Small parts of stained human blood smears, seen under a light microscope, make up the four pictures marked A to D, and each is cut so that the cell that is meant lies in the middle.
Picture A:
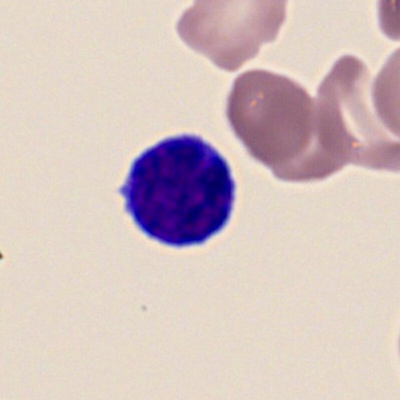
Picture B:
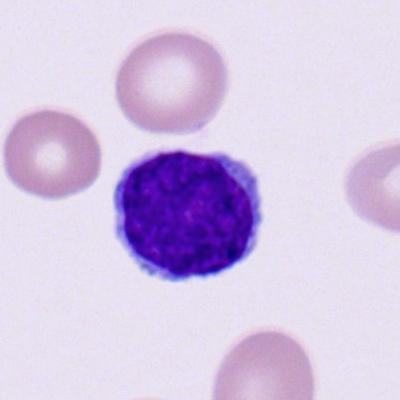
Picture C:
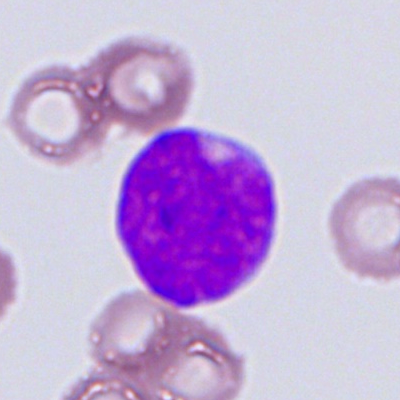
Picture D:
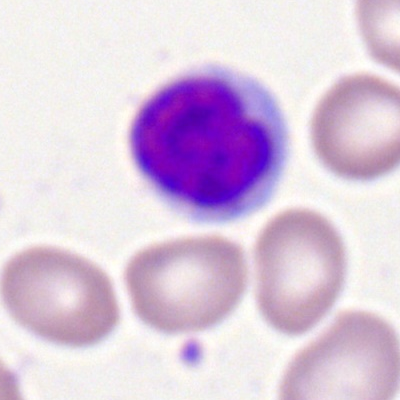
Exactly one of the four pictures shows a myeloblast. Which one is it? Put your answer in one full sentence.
The myeloblast is the one in picture C.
